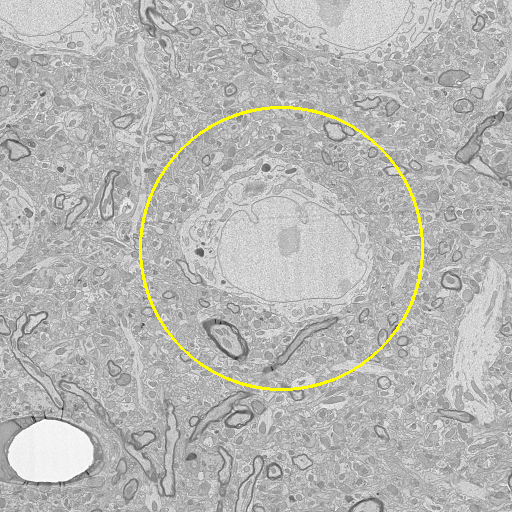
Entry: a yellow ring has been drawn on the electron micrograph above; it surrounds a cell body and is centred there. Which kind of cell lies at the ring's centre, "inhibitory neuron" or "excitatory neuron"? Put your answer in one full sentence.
The cell sitting at the ring's centre is an excitatory neuron in the micrograph above.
